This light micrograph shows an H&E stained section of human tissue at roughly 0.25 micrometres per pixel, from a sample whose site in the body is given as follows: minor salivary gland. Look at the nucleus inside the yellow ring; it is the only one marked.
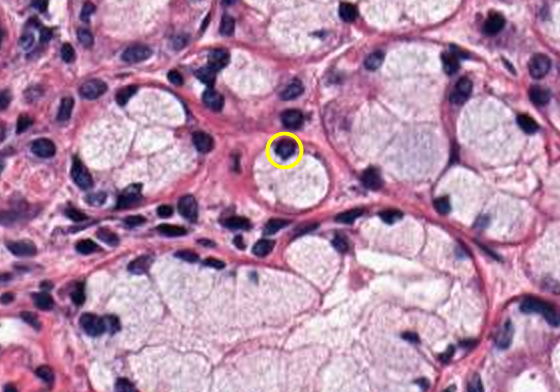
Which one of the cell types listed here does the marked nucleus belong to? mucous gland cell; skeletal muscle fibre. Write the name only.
mucous gland cell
